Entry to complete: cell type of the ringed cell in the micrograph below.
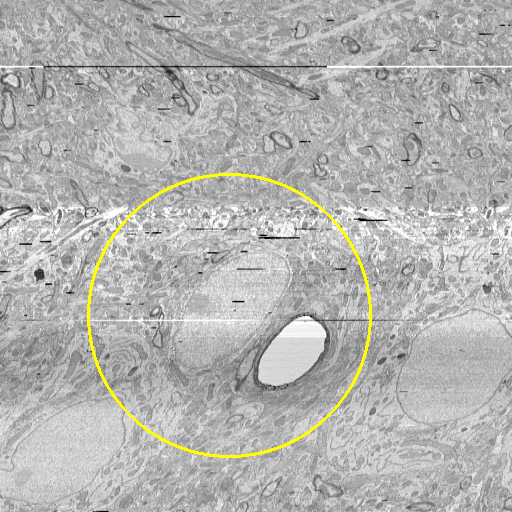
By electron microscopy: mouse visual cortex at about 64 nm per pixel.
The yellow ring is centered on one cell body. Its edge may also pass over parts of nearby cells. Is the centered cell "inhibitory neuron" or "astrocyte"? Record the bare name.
astrocyte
